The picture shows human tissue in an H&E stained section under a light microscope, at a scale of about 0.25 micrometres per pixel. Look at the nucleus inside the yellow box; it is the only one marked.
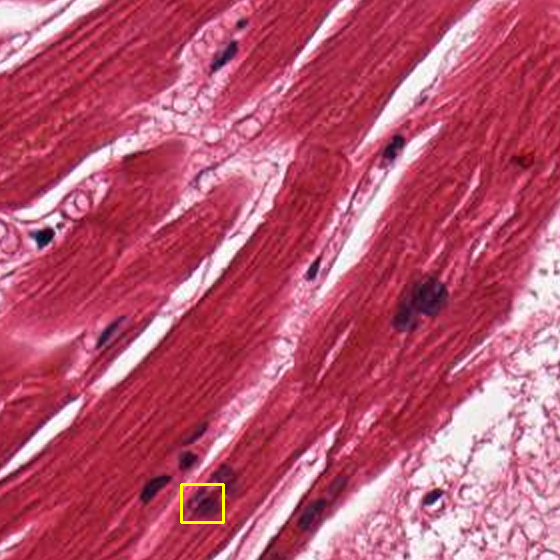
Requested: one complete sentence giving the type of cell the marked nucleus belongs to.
The owner of the marked nucleus is a cardiomyocyte.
